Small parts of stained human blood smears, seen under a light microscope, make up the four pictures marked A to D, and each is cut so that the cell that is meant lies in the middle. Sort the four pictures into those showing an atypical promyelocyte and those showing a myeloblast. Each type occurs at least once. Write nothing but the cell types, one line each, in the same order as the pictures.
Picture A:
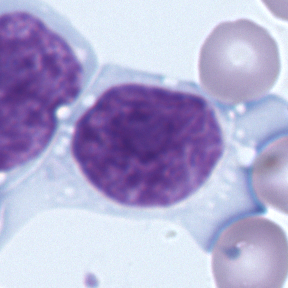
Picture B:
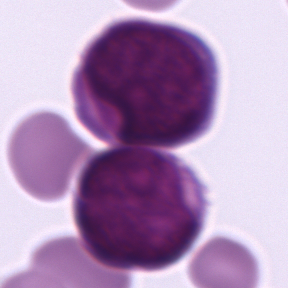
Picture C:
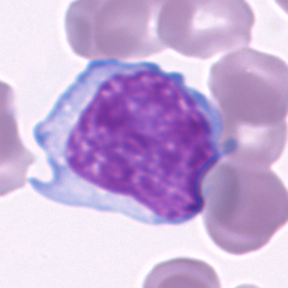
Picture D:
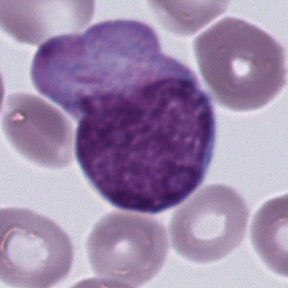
myeloblast
myeloblast
myeloblast
atypical promyelocyte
